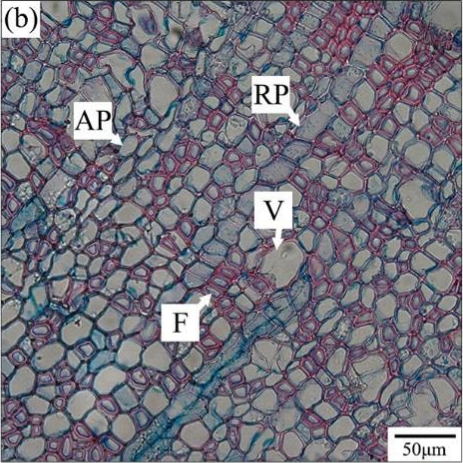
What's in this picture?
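This is wood in cross section, with wide, polygonal, thin-walled vessels scattered among smaller cells. Groups of fibers have red-stained walls, while parenchyma cells have blue-stained walls. A ray of narrow, elongated cells runs diagonally across the field.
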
